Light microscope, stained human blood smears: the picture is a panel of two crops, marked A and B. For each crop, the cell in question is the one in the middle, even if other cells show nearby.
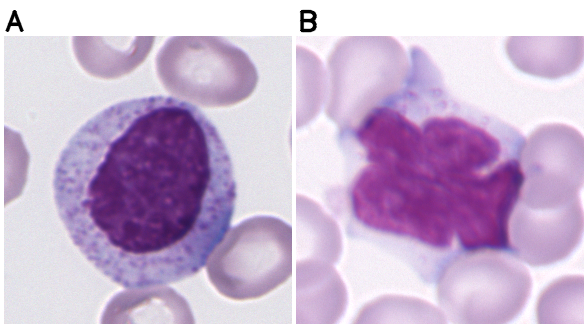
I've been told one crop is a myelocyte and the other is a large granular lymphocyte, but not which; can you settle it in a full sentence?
In crop A there is a myelocyte, and in crop B there is a large granular lymphocyte.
